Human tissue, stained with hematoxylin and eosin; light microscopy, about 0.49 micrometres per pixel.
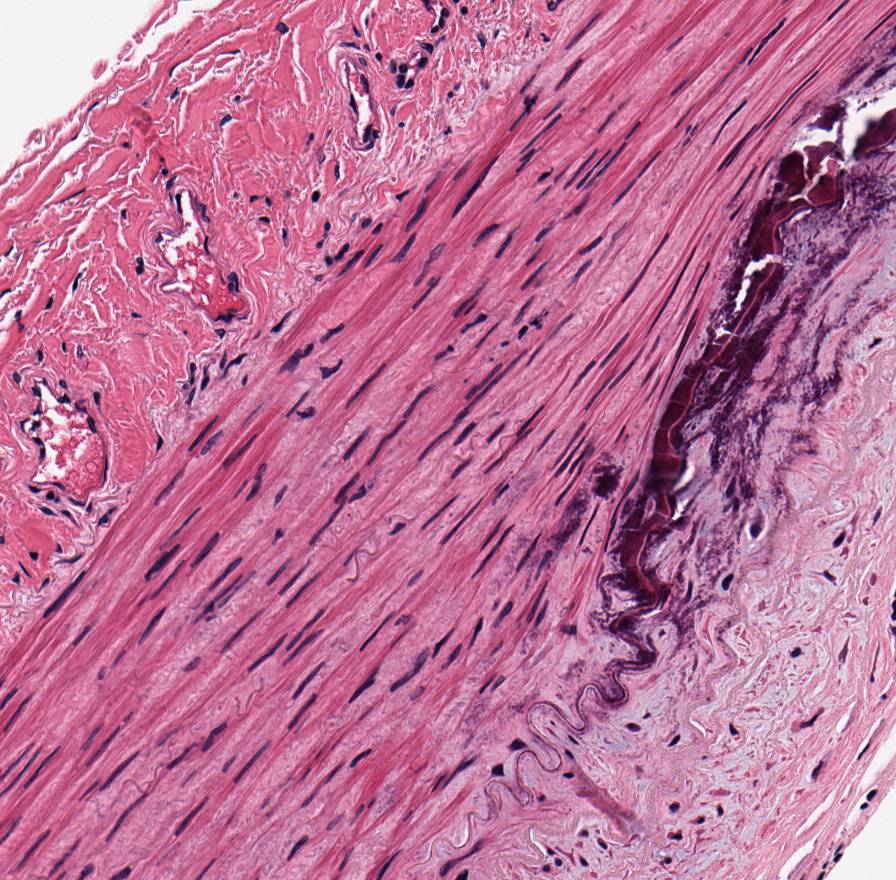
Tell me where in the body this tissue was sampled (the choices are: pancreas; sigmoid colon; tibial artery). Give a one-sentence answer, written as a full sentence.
Obtained from the tibial artery, the tissue was sectioned for this slide.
